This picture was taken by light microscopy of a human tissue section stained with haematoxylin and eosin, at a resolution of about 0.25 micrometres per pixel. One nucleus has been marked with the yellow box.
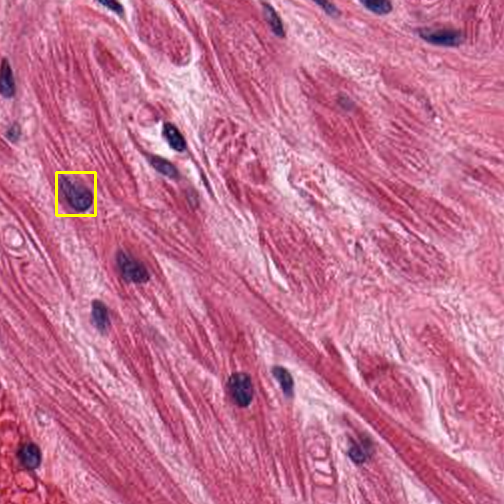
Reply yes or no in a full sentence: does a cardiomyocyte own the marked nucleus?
Yes, the cell that holds the marked nucleus is a cardiomyocyte.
